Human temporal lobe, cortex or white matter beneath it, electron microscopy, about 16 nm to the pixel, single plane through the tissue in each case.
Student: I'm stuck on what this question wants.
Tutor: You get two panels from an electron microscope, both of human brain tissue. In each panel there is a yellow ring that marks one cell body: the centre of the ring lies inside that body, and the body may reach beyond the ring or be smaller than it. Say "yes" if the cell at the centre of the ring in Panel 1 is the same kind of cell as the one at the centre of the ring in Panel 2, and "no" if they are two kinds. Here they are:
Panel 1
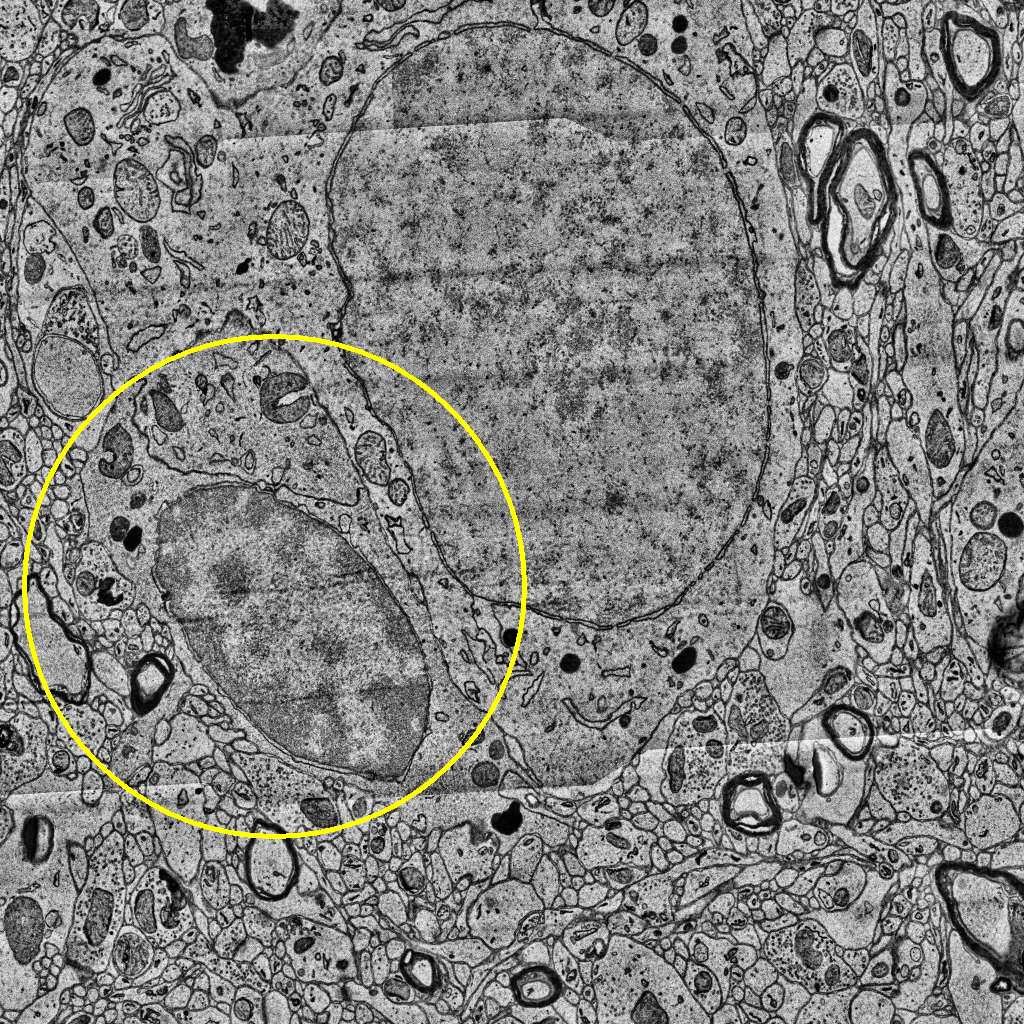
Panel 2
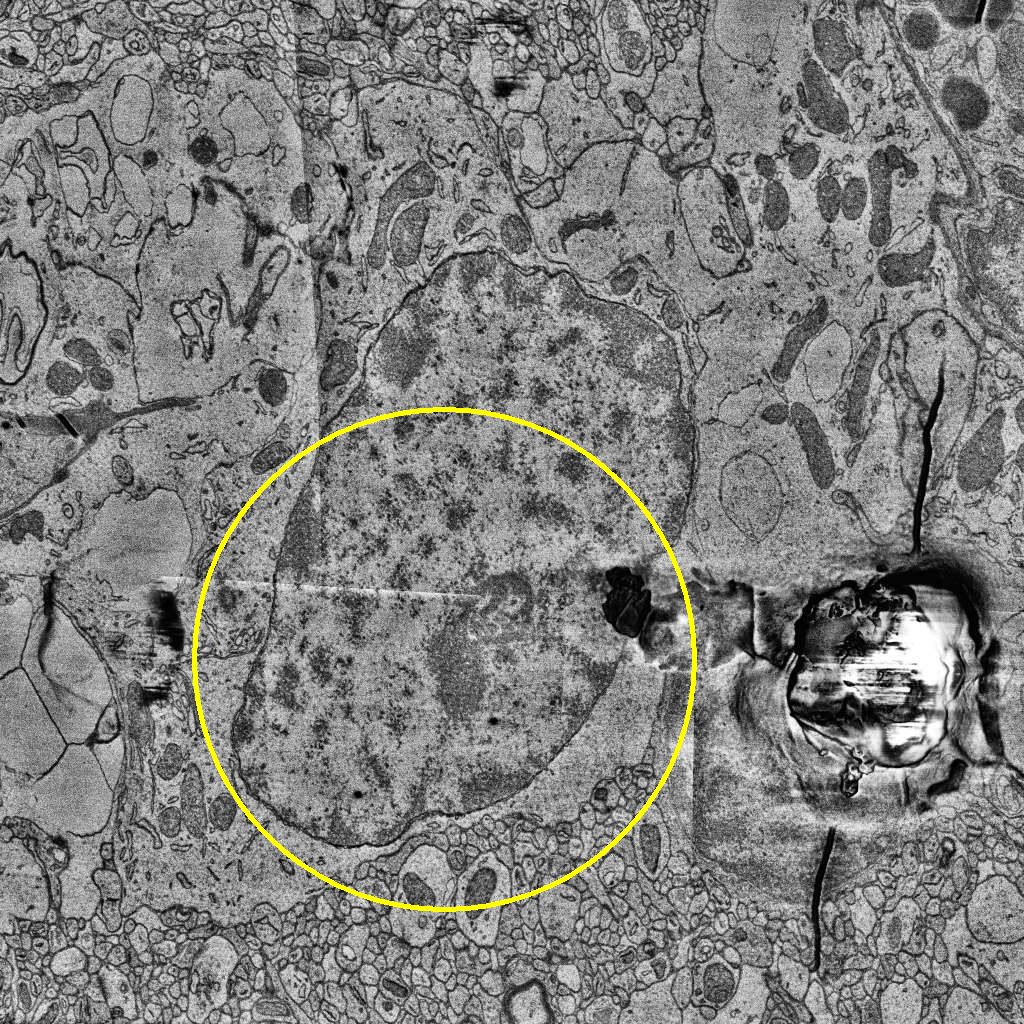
no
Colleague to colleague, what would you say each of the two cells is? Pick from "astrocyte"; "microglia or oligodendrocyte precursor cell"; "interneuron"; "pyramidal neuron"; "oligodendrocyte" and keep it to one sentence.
In the first picture we have an oligodendrocyte, and in the second, a microglial cell or oligodendrocyte precursor cell.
